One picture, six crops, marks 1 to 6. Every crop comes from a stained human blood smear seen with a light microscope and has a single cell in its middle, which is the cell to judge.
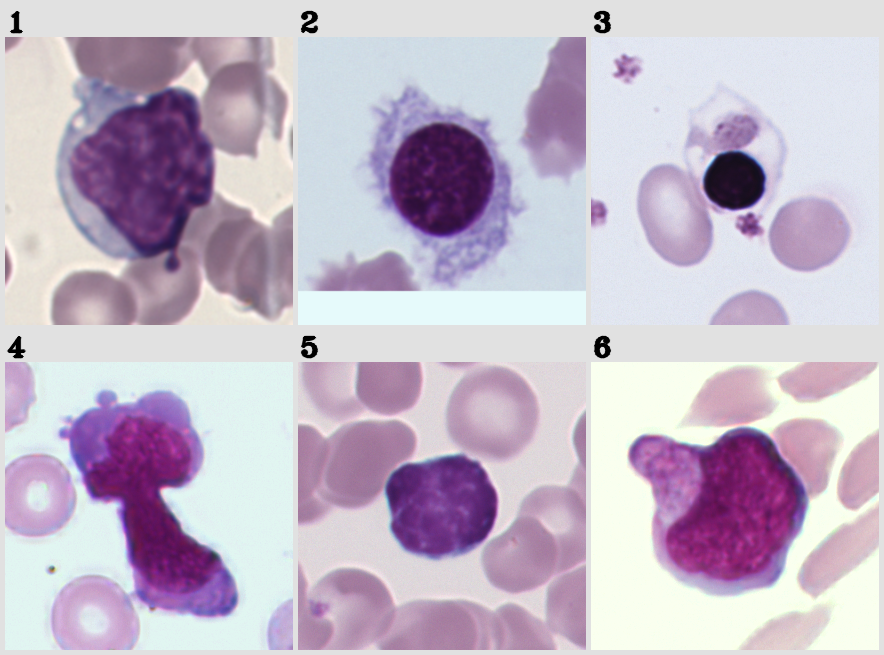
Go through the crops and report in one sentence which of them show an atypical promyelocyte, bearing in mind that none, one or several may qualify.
Crops 4 and 6 show atypical promyelocytes as their middle cells.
